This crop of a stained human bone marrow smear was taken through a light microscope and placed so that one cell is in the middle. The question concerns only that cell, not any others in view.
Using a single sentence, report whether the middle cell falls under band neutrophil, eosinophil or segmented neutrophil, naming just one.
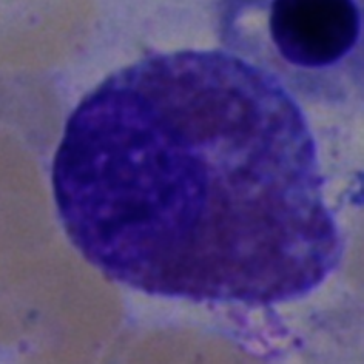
To answer, the cell in the center of the crop is an eosinophil.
